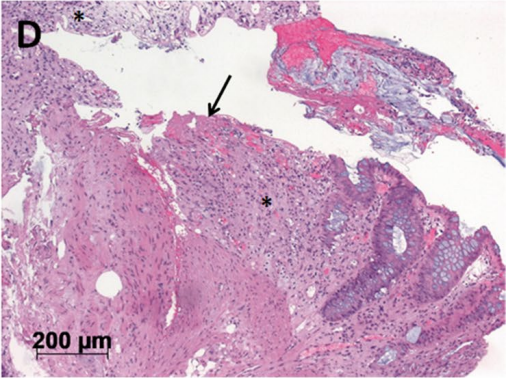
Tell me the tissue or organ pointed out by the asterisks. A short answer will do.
Granulation tissue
